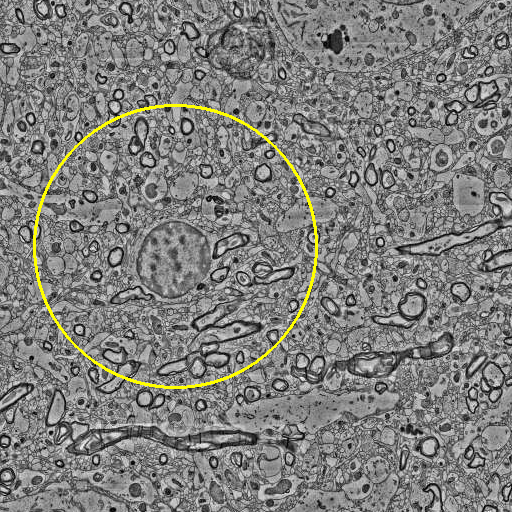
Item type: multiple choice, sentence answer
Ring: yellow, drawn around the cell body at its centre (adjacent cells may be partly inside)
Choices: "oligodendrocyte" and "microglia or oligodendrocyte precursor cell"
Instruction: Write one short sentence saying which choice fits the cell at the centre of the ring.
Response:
This ring is drawn around an oligodendrocyte.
